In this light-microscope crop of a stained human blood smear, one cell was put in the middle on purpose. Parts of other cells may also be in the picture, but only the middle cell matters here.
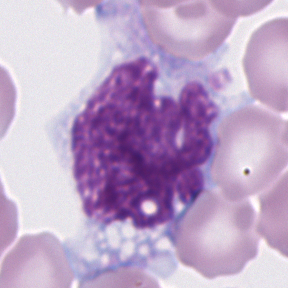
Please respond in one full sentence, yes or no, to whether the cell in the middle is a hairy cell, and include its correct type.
No, the central cell is a monocyte, not a hairy cell.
